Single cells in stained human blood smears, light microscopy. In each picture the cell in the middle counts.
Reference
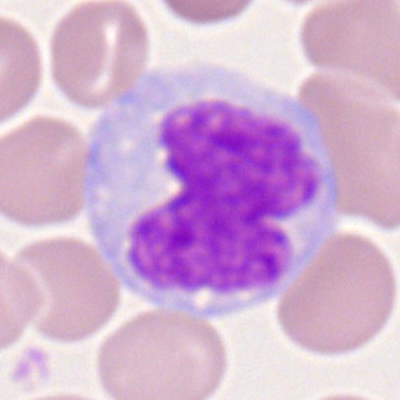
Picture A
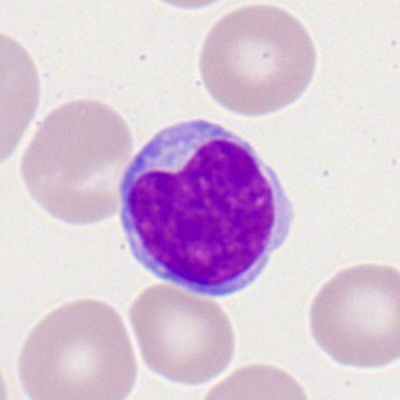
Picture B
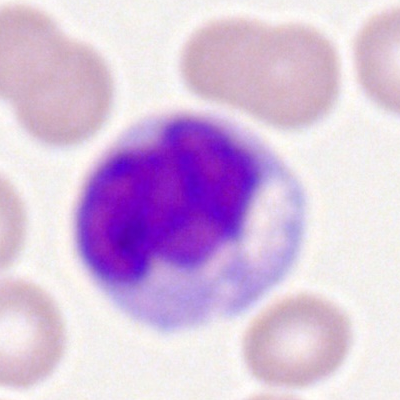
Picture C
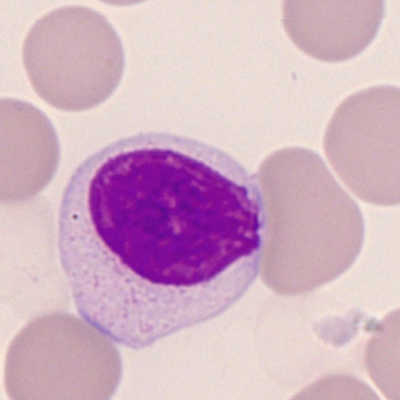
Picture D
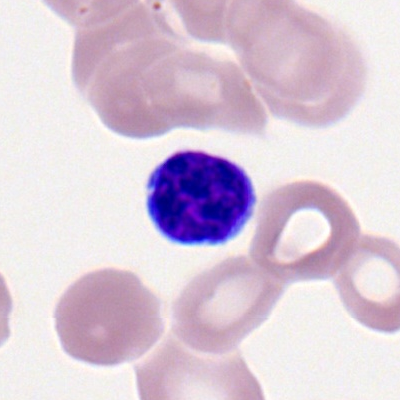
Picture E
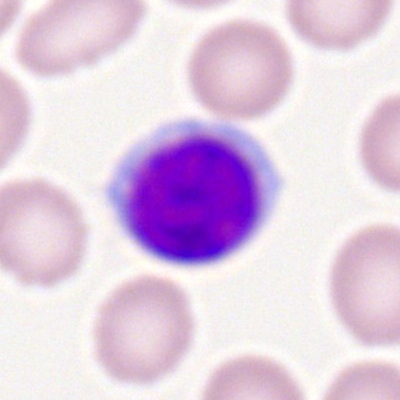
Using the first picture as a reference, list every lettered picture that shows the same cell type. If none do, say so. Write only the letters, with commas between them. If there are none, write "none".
B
